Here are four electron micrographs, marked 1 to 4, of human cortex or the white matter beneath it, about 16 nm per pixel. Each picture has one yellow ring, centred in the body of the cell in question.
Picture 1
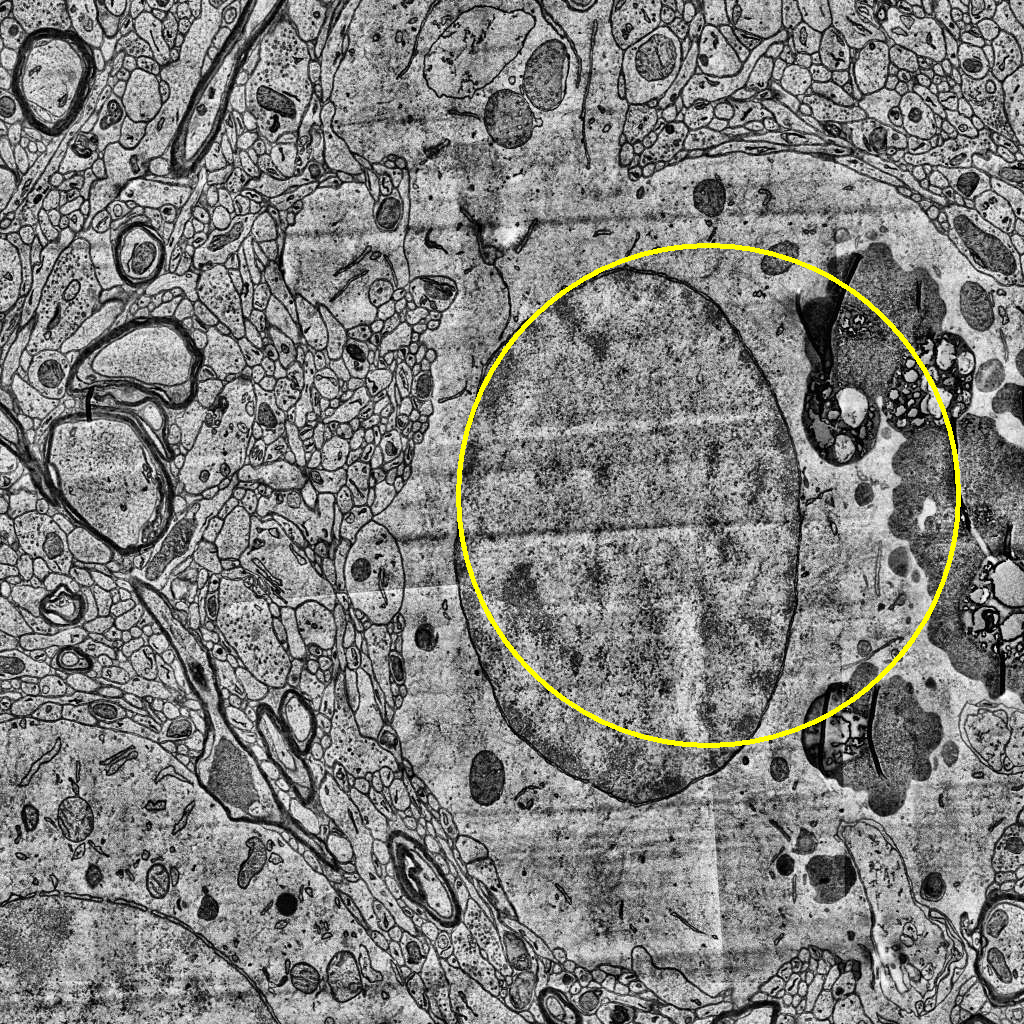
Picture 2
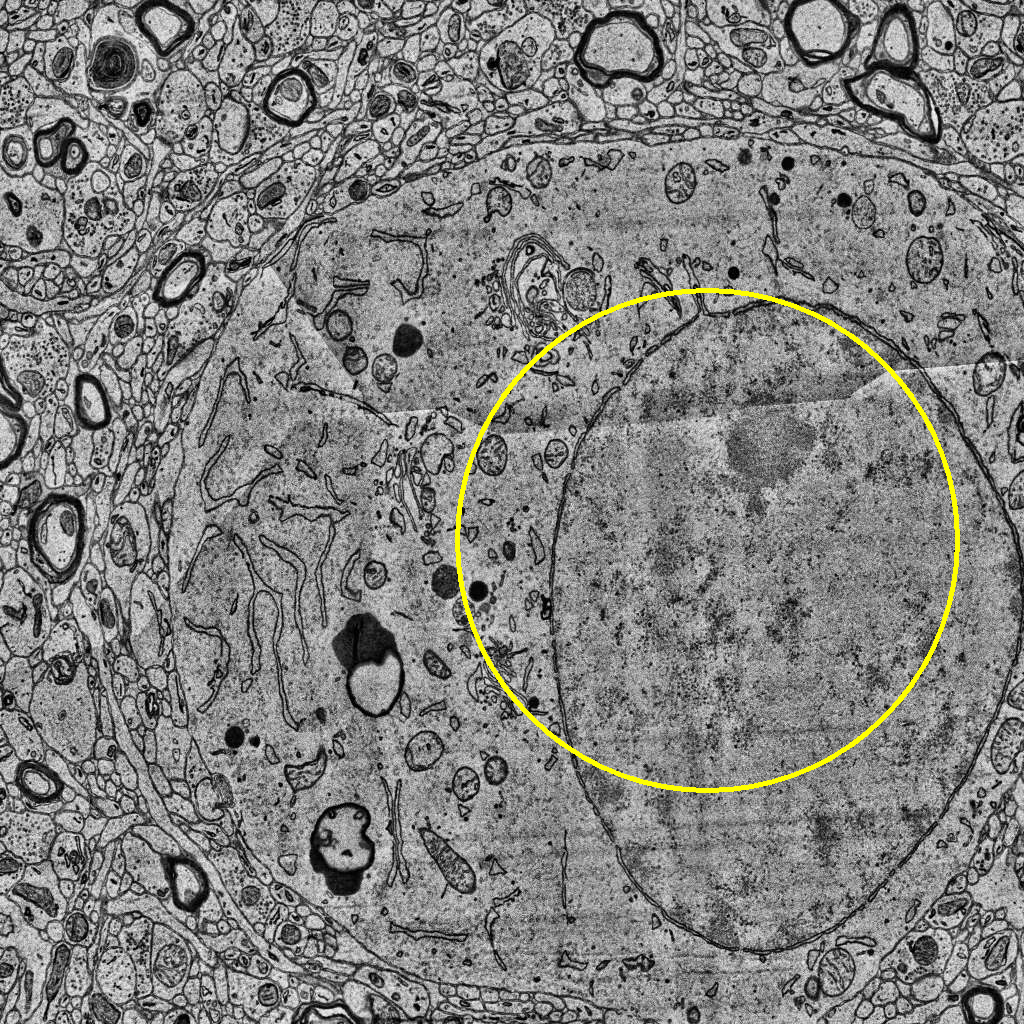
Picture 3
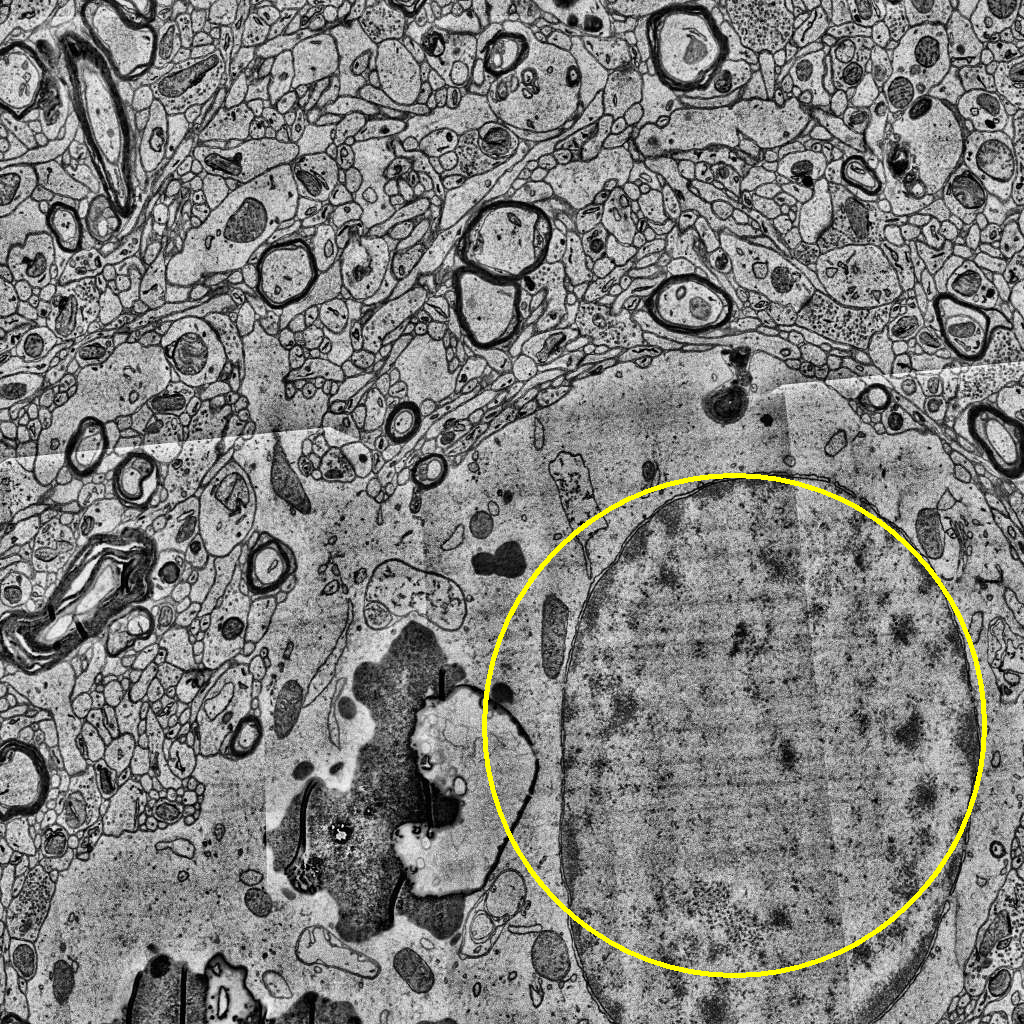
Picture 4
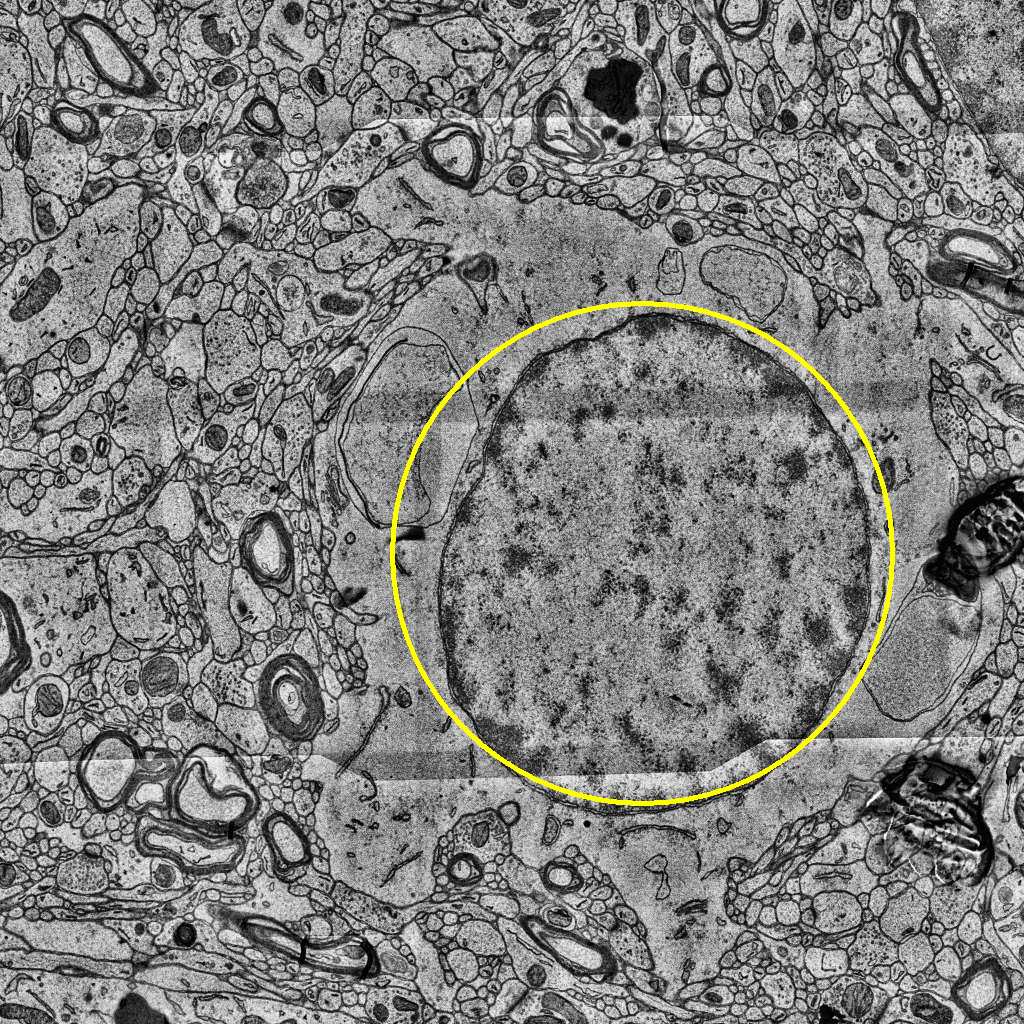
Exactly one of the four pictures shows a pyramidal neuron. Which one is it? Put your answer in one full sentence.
Picture 2 shows the pyramidal neuron.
